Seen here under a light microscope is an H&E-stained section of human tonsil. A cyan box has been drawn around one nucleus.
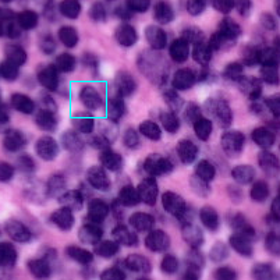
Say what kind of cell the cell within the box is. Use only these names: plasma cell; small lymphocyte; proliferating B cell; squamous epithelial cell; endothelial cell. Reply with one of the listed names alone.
small lymphocyte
